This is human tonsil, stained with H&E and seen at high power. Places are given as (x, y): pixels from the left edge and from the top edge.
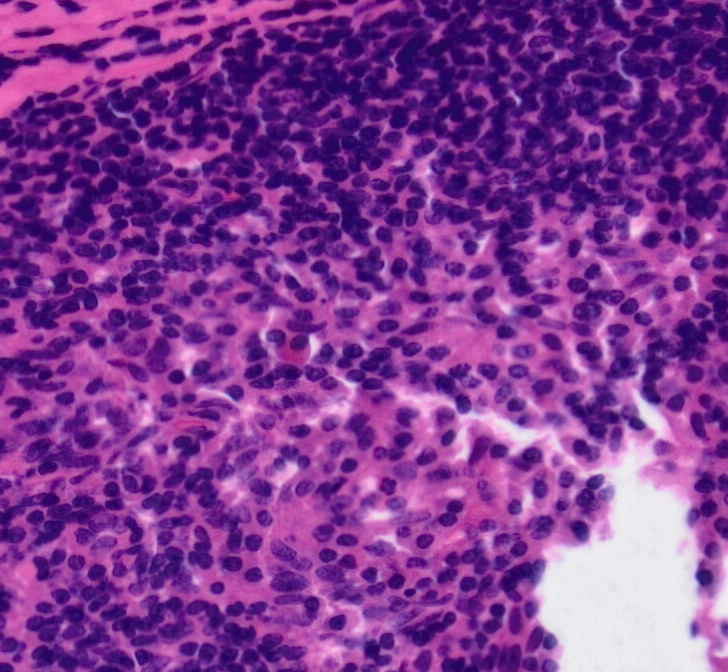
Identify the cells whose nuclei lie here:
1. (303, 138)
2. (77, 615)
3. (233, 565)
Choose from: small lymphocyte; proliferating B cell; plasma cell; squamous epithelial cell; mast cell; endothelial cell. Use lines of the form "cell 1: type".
cell 1: small lymphocyte
cell 2: small lymphocyte
cell 3: plasma cell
